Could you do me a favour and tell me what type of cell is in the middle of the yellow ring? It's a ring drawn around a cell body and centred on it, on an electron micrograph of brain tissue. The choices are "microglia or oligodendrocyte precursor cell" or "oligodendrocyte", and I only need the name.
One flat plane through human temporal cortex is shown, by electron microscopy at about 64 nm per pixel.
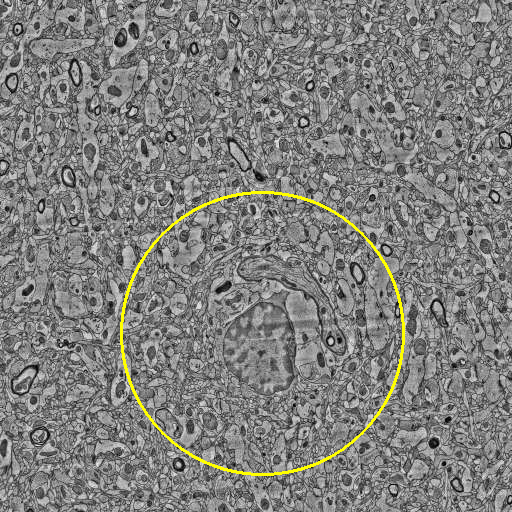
oligodendrocyte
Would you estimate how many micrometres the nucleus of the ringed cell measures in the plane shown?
In this plane, the nucleus of the cell at the centre of the ring measures about 6 by 5 micrometres.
